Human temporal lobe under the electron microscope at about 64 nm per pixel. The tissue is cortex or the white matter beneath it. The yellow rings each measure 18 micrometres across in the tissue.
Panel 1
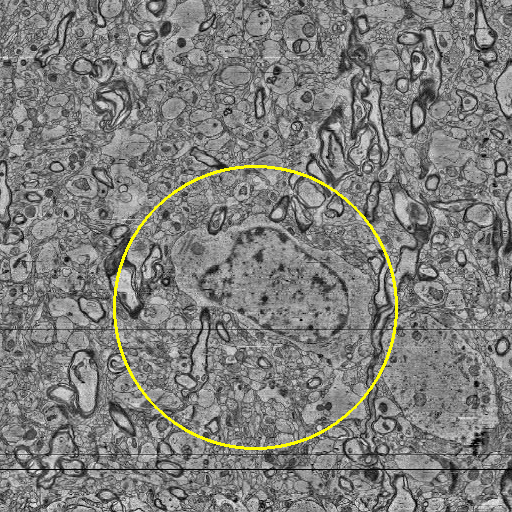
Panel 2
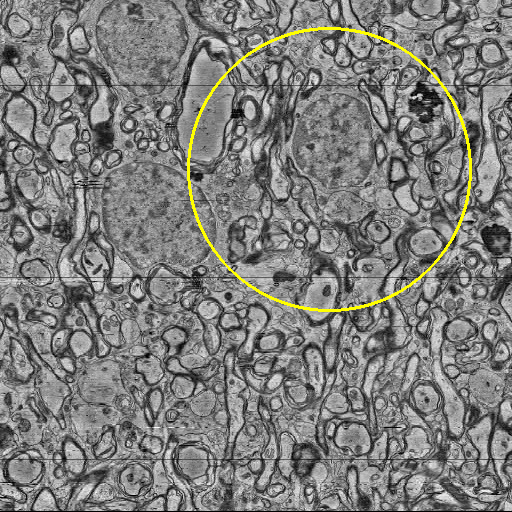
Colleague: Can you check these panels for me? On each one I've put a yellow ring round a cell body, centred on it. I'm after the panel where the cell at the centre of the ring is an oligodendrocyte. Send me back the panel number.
2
